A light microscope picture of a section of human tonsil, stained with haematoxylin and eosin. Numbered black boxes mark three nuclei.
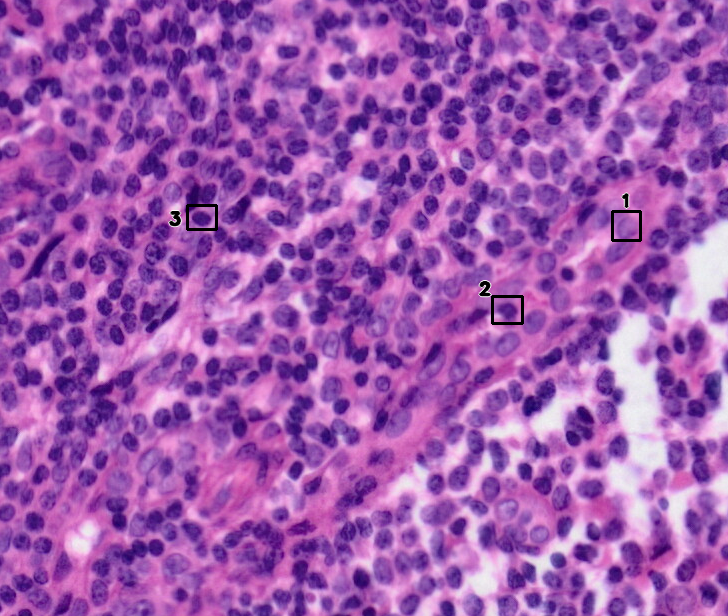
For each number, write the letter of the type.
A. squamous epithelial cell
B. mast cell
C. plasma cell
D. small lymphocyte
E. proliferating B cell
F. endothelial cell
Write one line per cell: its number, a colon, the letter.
1: F
2: F
3: D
